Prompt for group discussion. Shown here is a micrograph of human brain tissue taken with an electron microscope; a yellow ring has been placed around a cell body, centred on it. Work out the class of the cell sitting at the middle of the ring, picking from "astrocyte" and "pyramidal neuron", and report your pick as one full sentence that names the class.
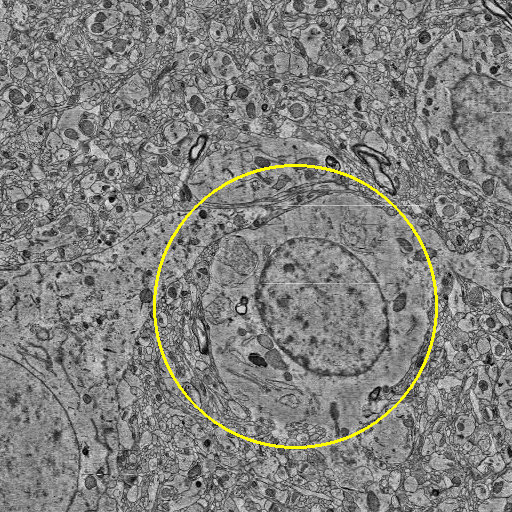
The cell sitting at the middle of the yellow ring is an astrocyte.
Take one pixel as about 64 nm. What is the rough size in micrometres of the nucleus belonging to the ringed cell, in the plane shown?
Roughly 10 by 8 micrometres in this plane, for the nucleus of the ringed cell.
